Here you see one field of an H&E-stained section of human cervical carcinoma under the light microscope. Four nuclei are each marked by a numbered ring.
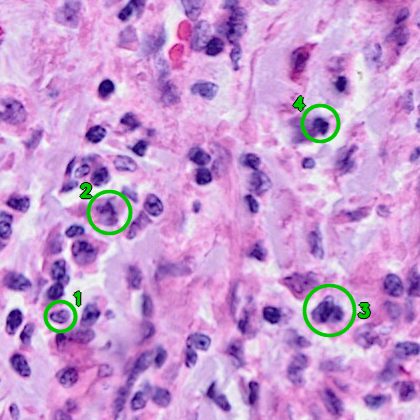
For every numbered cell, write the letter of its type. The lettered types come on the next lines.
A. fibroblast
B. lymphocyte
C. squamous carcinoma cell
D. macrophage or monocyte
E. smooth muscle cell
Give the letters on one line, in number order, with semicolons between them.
B; D; B; B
